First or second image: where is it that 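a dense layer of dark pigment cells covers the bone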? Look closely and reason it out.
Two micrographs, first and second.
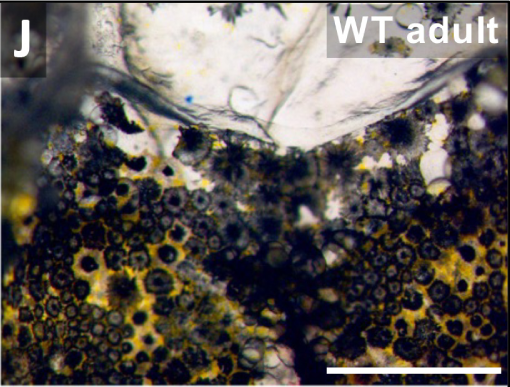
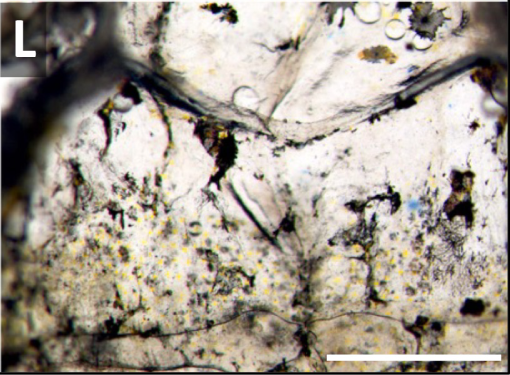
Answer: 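First image: much of the field is covered by a dense layer of black and yellow pigment cells. So: the first image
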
